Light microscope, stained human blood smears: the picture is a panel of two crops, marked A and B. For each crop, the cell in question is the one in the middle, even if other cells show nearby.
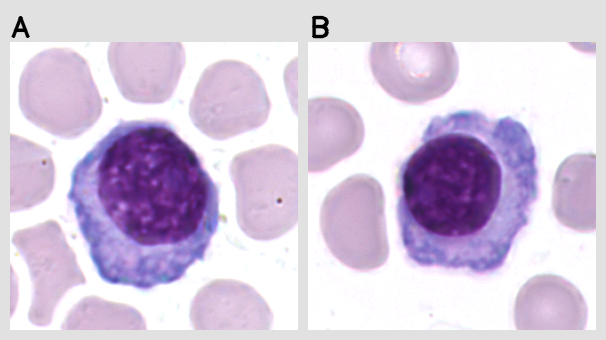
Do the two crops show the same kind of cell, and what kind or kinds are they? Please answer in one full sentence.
Yes, the two crops show plasma cells at their centres.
